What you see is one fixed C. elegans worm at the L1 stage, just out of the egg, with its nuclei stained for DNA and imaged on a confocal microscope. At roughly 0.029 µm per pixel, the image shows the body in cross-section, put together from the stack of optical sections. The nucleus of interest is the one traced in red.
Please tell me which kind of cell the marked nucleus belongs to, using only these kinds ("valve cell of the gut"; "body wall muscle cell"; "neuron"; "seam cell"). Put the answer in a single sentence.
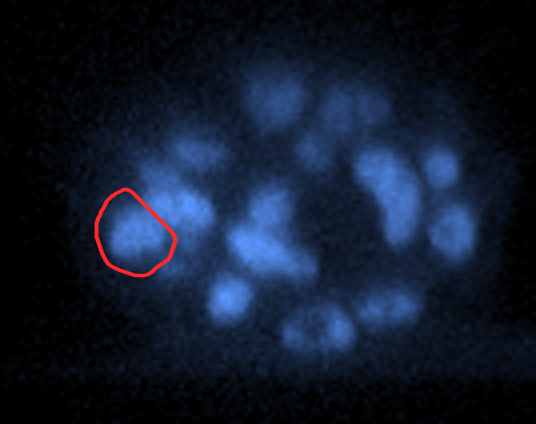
This is the nucleus of a neuron.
